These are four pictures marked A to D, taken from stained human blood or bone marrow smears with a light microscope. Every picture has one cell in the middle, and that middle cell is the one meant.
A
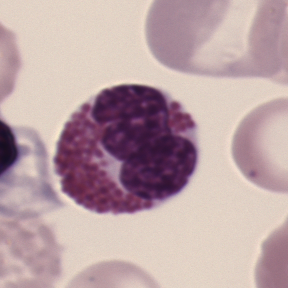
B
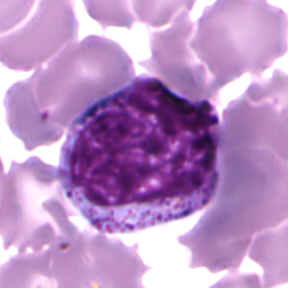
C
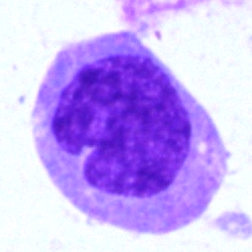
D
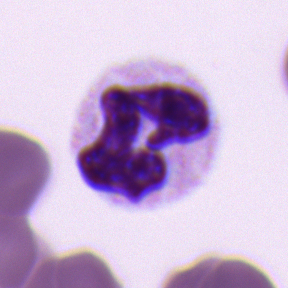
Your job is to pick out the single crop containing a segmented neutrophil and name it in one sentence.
In this set, crop D is the one showing a segmented neutrophil.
